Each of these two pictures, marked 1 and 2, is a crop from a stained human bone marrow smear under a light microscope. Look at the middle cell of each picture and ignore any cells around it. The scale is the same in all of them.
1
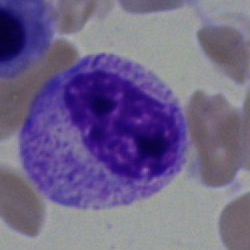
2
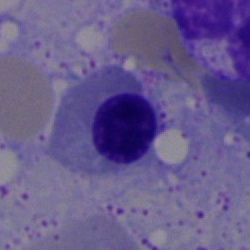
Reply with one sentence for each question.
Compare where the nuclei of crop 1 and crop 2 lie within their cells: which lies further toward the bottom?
The nucleus in crop 2 lies further toward the bottom of its cell.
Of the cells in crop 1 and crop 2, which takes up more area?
The cell in crop 1 is larger, with about 2.5 times the area of the one in crop 2.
